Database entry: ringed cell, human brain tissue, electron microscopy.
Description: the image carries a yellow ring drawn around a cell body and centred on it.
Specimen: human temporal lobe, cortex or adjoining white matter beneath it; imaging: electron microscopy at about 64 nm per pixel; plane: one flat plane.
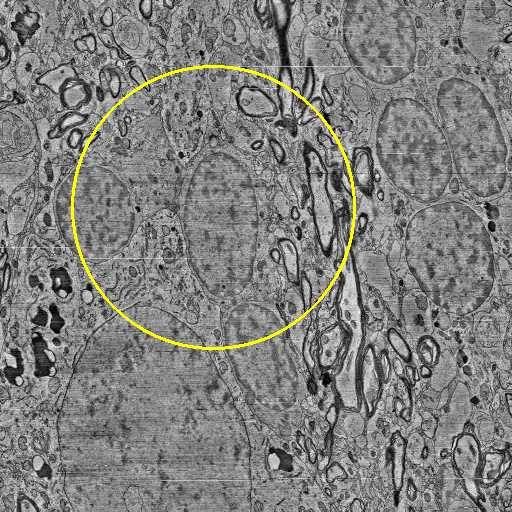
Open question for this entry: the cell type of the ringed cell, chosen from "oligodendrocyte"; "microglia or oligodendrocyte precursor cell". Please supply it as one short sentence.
The ringed cell is an oligodendrocyte.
